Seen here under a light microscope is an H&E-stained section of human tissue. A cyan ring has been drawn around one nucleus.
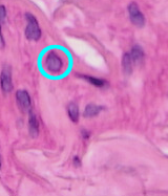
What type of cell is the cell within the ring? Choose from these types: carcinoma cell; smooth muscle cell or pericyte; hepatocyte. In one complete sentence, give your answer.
The expected answer is simply that the cell within the ring is a smooth muscle cell or pericyte.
